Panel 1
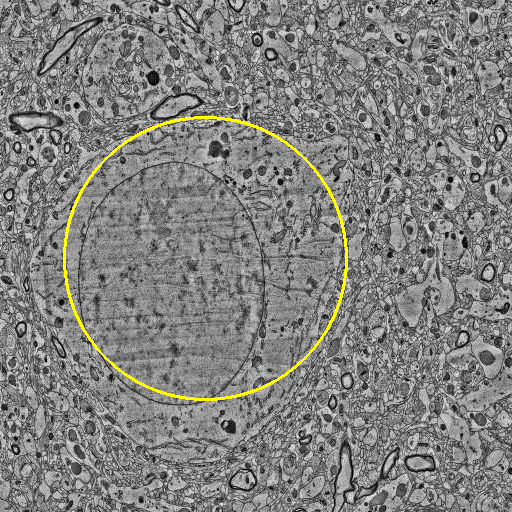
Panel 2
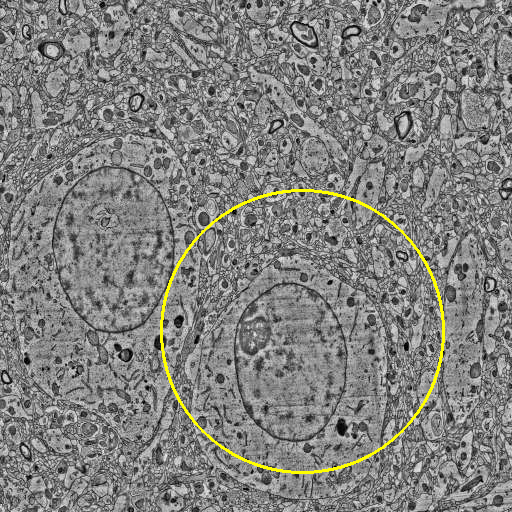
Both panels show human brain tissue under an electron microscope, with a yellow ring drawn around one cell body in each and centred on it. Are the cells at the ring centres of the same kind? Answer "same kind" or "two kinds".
same kind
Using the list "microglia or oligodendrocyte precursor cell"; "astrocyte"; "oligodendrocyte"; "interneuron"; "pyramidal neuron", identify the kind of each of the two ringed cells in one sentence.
Each of the two pictures has a pyramidal neuron at the ring centre.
